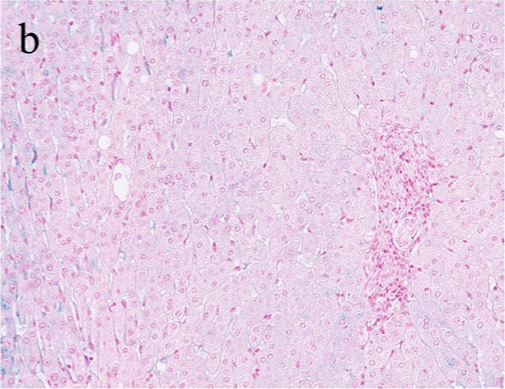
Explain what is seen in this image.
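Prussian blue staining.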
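This is liver parenchyma made of polygonal hepatocytes lying in cords, each with a round, centrally placed nucleus stained pinkish red and a pale pink cytoplasm. Thin sinusoidal spaces separate the cords, and a few small round lumina are scattered through the field. On the right a small cluster of tightly packed cells with dark red nuclei interrupts the regular cords. Faint blue granular deposits are seen mainly along the left edge of the field.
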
